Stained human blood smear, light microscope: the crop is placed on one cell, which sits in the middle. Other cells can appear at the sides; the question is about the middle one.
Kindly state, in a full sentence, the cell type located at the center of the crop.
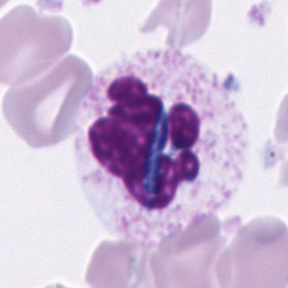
The crop's centre is taken up by a neutrophil.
